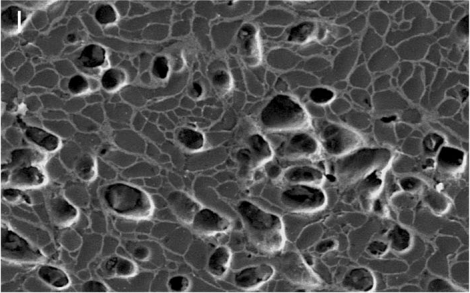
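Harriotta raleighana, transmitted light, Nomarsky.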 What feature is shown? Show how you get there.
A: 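Saccules. Many rounded and oval cavities with dark interiors. Cavities have raised bright rims. Cavities sit within a fine polygonal meshwork of thin channels.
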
